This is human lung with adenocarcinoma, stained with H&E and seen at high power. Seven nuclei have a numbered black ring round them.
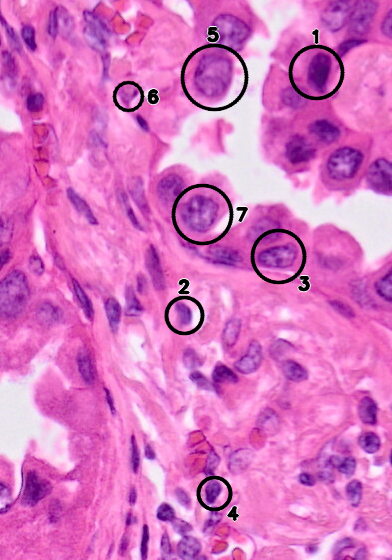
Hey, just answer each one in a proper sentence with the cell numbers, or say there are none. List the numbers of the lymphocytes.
Cells 2 and 4 are recognised here as lymphocytes.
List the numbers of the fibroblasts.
Among the numbered cells, the one that is a fibroblast is cell 6 alone.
